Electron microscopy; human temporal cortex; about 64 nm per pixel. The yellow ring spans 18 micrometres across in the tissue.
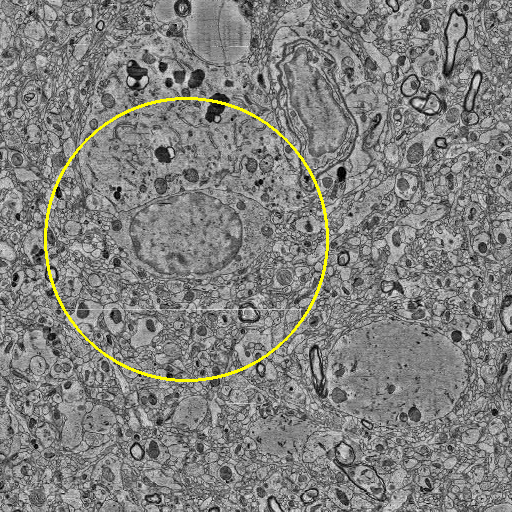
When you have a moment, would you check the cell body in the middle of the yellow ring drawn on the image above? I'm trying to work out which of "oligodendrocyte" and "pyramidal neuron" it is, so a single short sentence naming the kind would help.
This cell body belongs to an oligodendrocyte.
